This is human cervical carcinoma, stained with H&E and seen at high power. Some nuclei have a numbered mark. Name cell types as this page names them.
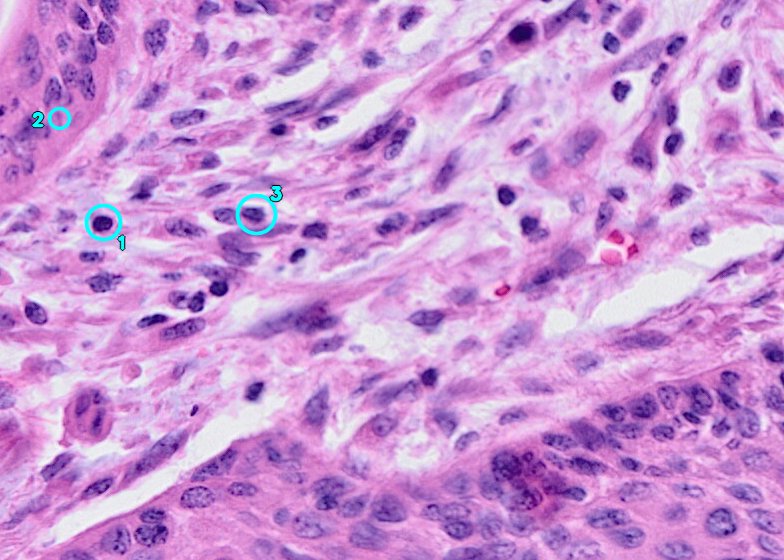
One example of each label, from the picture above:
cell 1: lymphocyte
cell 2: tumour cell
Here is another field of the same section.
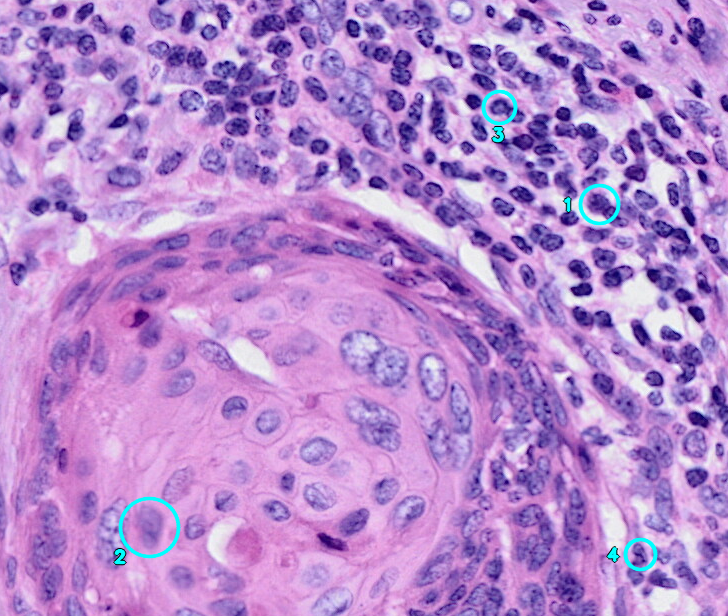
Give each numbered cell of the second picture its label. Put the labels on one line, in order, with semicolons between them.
lymphocyte; tumour cell; lymphocyte; lymphocyte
